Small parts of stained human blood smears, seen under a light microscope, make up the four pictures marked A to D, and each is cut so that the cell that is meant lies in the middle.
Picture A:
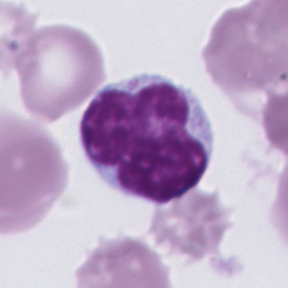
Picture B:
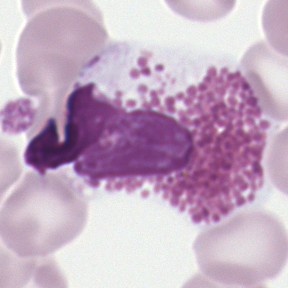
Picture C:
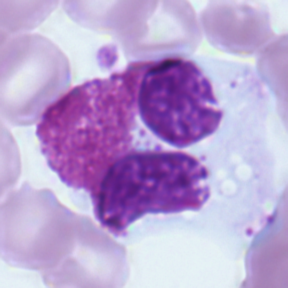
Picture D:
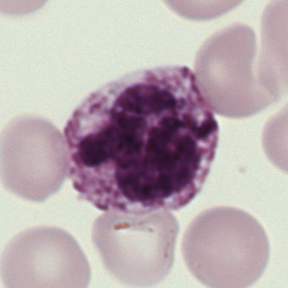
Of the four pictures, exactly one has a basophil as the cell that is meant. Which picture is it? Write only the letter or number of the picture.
D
